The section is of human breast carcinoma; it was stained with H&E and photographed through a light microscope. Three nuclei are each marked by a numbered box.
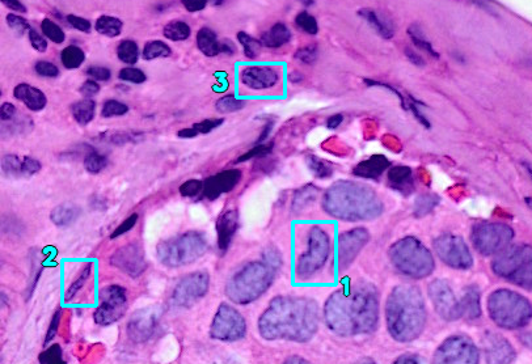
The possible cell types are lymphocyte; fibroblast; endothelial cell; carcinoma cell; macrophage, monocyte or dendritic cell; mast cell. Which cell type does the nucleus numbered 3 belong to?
mast cell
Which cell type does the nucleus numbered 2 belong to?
endothelial cell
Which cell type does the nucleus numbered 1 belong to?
carcinoma cell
